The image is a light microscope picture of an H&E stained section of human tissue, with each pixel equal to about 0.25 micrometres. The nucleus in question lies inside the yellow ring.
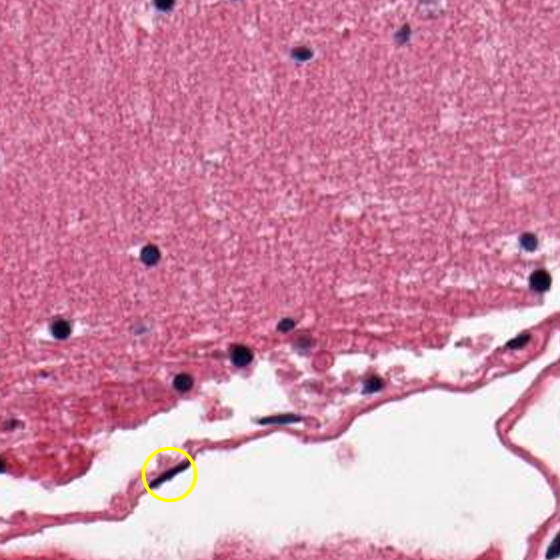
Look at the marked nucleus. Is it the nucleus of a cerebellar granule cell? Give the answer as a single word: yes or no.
no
